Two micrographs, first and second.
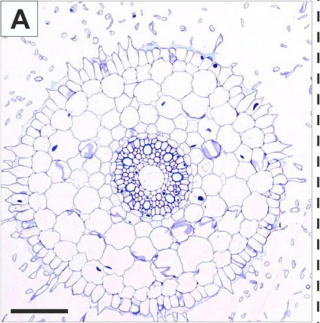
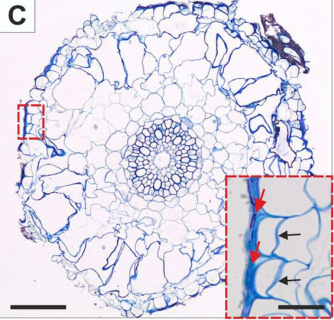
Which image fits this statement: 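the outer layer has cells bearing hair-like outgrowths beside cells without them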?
The first image.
